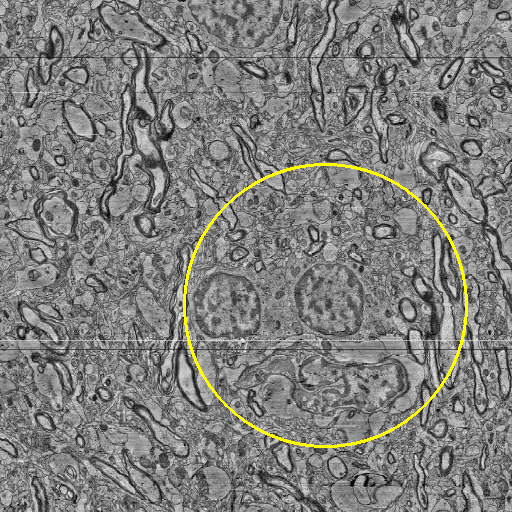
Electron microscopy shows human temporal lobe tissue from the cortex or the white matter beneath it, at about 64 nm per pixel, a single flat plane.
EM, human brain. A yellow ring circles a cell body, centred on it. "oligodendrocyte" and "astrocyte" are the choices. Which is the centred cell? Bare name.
oligodendrocyte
